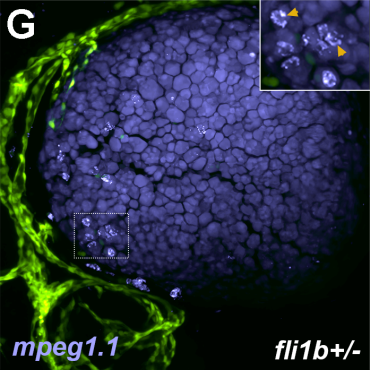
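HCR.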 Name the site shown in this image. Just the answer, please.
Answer: Yolk surface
